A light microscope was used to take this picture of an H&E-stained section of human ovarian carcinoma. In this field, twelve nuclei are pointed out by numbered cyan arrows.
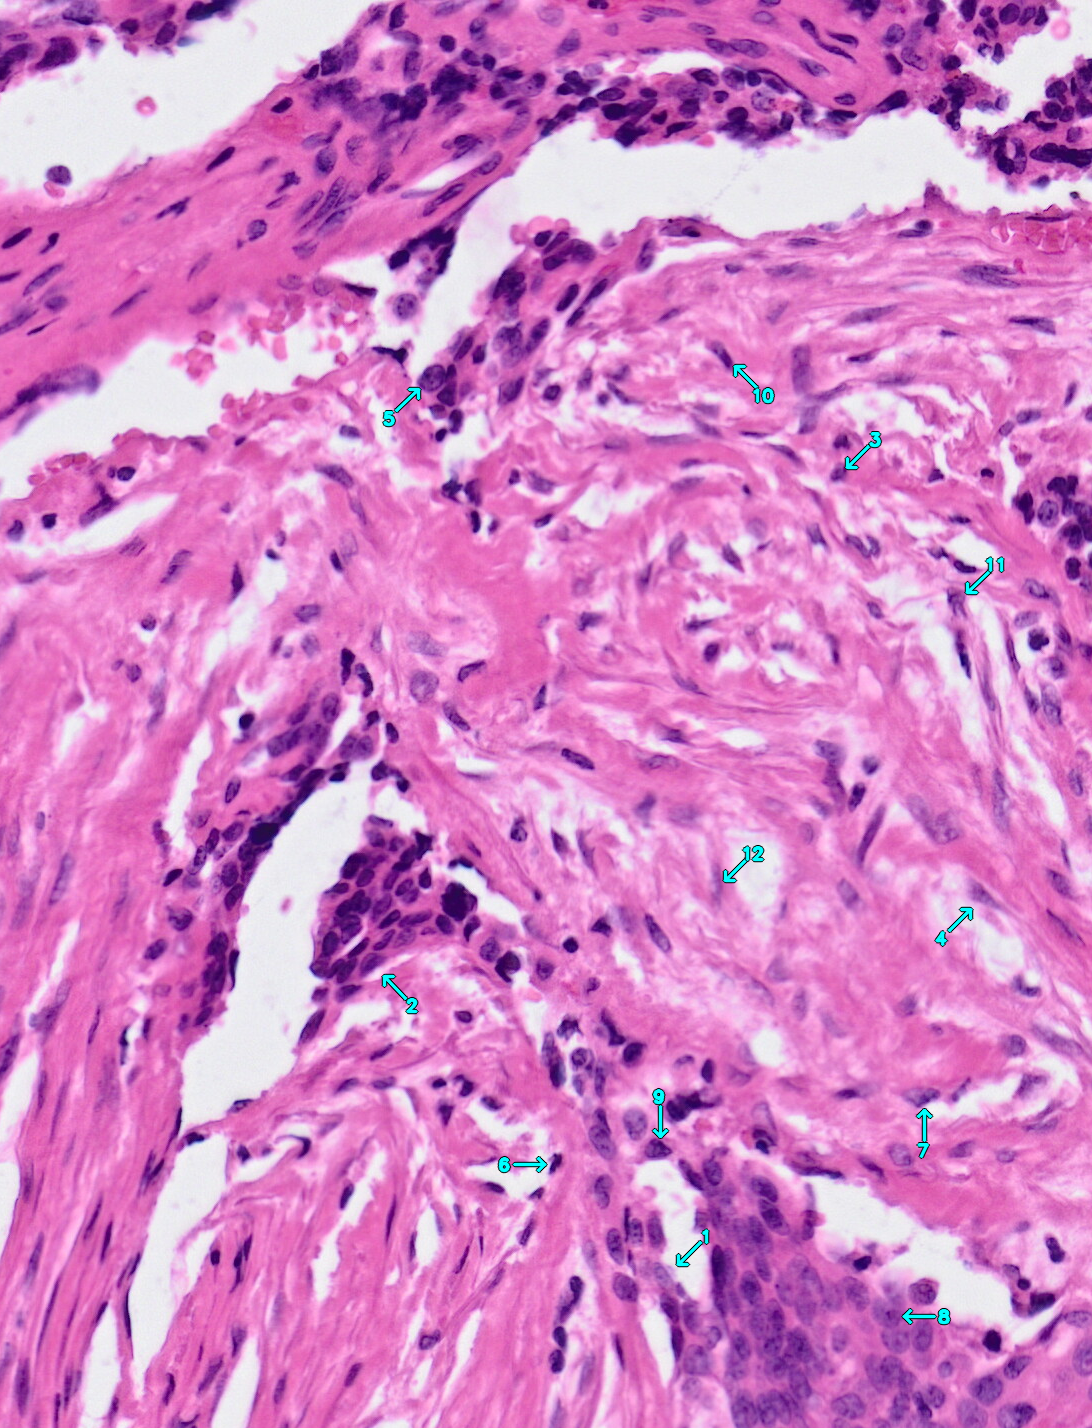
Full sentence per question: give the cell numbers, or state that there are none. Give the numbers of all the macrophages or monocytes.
Of the numbered nuclei, only the one labelled 9 belongs to a macrophage or monocyte.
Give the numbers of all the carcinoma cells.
The cells that have been numbered 1, 2, 5 and 8 are carcinoma cells.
